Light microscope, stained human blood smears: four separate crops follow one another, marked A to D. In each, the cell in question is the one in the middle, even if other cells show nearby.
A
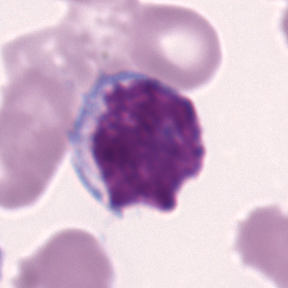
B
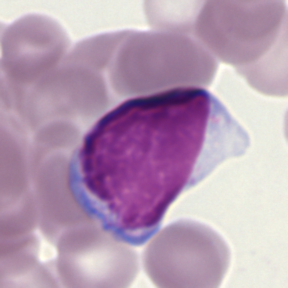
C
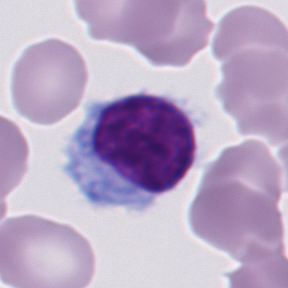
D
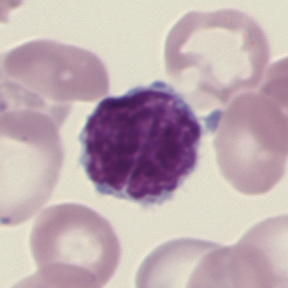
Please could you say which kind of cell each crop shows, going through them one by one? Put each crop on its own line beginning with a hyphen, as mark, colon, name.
- A: typical lymphocyte
- B: large granular lymphocyte
- C: hairy cell
- D: typical lymphocyte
